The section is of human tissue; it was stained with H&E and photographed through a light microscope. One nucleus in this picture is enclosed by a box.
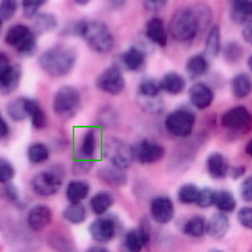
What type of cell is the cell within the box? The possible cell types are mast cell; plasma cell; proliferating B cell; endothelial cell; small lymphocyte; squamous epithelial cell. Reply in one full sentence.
Just put down that the cell within the box is an endothelial cell.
